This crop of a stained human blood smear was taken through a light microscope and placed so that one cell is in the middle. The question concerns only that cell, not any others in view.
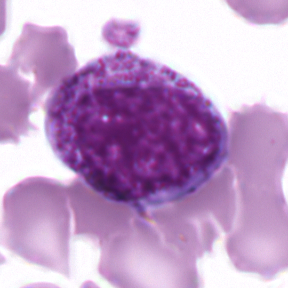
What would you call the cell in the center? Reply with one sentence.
The crop centres on a single cell, and that cell is a myelocyte.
